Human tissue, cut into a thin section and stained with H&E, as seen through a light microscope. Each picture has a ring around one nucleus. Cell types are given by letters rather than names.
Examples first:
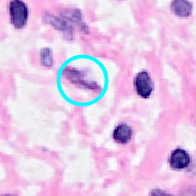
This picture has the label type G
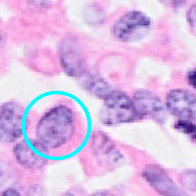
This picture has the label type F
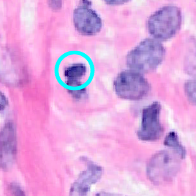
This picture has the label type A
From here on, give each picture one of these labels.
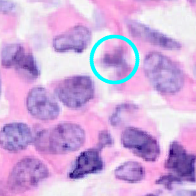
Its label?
type F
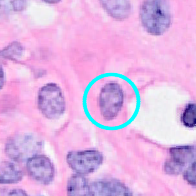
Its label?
type F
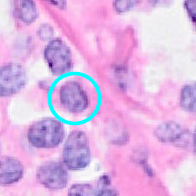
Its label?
type F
